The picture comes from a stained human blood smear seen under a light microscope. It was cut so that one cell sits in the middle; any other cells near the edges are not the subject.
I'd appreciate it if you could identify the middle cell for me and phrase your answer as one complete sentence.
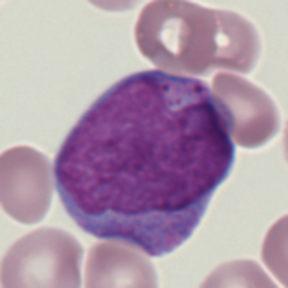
The cell that lies at the centre of the crop is an atypical promyelocyte.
